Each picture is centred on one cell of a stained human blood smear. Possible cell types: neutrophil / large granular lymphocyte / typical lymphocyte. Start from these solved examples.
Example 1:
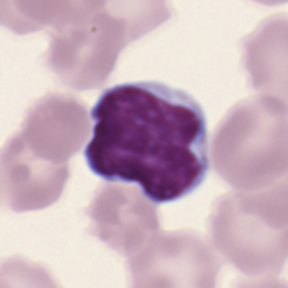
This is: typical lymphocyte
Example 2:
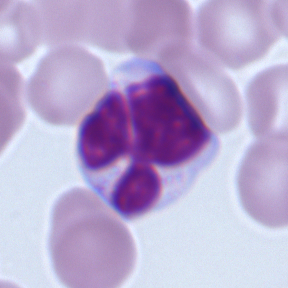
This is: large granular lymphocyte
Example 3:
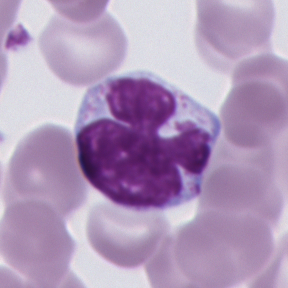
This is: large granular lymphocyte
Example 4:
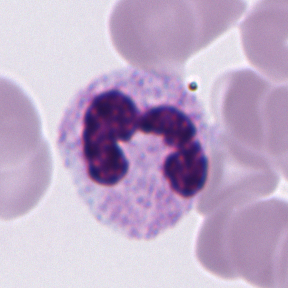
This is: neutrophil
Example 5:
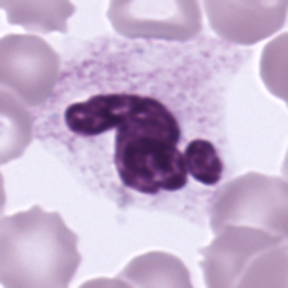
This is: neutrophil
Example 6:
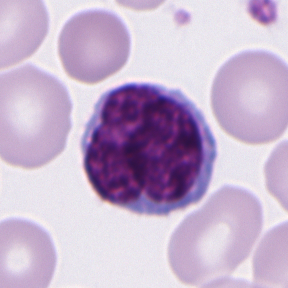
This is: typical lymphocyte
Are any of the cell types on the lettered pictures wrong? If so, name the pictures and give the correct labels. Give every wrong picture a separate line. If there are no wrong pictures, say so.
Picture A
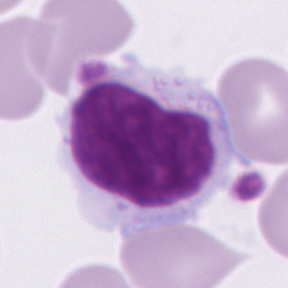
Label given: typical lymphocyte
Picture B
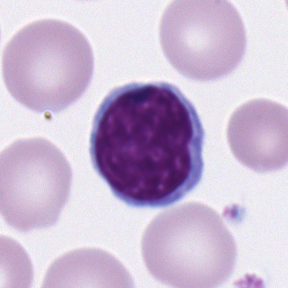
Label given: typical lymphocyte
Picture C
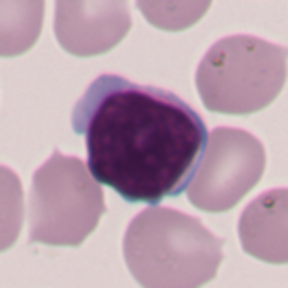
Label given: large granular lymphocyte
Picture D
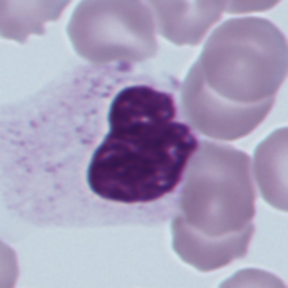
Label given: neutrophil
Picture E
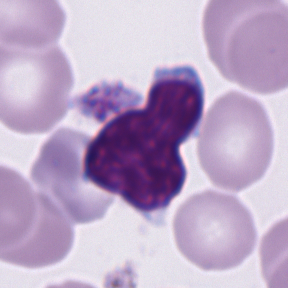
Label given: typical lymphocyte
A: large granular lymphocyte, not typical lymphocyte
C: typical lymphocyte, not large granular lymphocyte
